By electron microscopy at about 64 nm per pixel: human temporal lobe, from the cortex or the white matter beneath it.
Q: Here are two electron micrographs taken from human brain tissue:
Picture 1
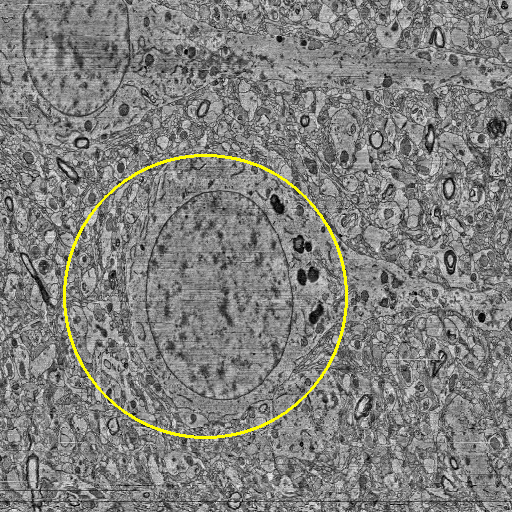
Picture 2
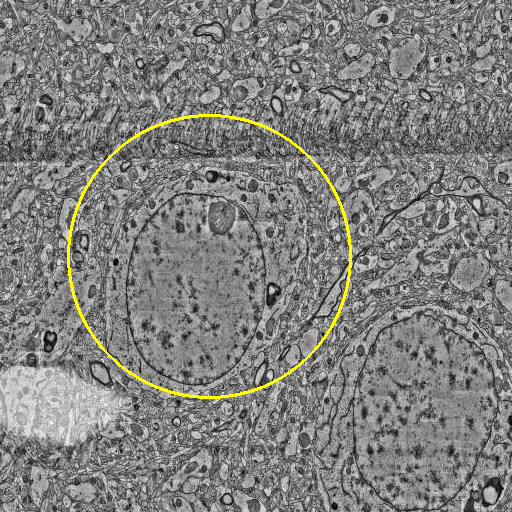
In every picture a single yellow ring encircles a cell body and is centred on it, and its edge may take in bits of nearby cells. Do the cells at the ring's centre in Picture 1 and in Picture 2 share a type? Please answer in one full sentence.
Yes, the cells at the ring's centre in Picture 1 and Picture 2 share a type.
